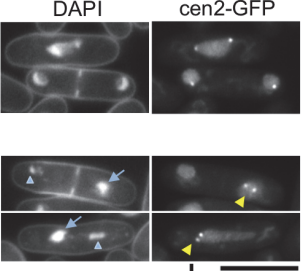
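In some divided cells the two daughter nuclei clearly differ in size and brightness: one is large and the other small. In the matching fluorescent images, bright small dots lie within the nuclei. In some cells both dots sit together on one side of the cell rather than one dot at each end.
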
